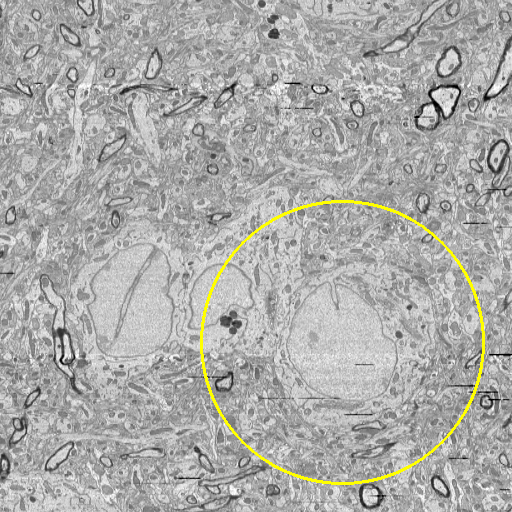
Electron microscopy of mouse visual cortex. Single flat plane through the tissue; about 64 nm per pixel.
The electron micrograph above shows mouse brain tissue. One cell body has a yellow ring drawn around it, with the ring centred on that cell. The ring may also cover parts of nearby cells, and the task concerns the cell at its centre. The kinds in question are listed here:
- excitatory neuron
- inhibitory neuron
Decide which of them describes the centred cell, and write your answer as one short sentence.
The centred cell is an excitatory neuron.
